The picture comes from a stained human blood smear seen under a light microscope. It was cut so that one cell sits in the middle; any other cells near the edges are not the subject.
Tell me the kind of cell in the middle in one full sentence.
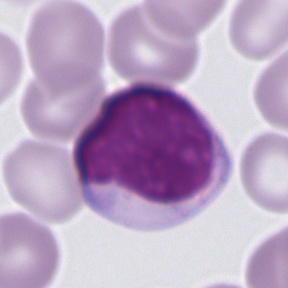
The cell at the middle of the crop is recognized as a large granular lymphocyte.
